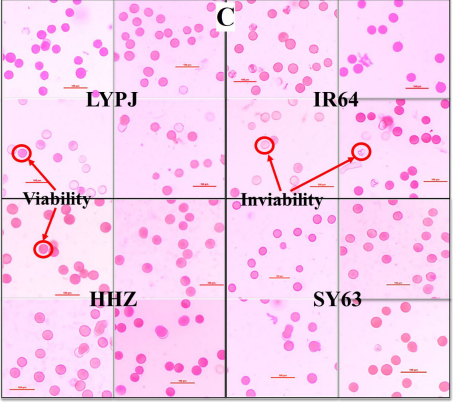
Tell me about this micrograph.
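A grid of small brightfield fields shows loose, scattered pollen grains on a pale background. Each grain is a single round cell lying on its own, not joined into a tissue. Most grains are evenly filled with a purplish-red stain and look full and spherical. Others are pale, nearly colourless, or shrunken and irregular in outline, and these stand out against the stained grains beside them. Some fields are crowded with deeply stained round grains, while others hold a mix of coloured and pale, deformed grains. Red circles highlight single grains of each kind.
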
